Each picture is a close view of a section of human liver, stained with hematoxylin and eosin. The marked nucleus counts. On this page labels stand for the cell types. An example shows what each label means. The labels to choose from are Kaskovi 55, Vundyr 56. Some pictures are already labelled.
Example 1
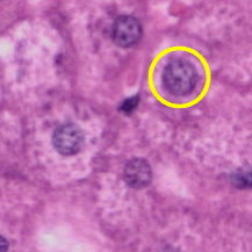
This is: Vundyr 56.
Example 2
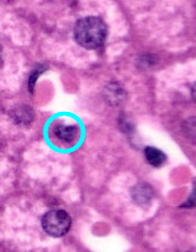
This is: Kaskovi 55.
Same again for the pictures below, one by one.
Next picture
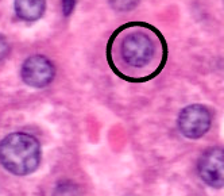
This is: Vundyr 56.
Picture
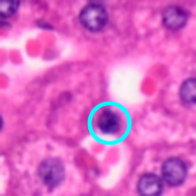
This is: Kaskovi 55.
